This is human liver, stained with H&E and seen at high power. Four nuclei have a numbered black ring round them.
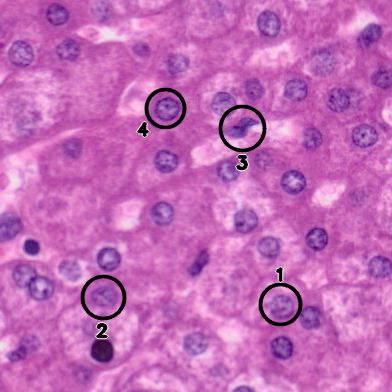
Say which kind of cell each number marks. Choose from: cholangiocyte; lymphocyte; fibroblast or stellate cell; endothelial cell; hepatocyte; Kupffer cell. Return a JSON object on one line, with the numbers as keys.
{"1": "hepatocyte", "2": "hepatocyte", "3": "endothelial cell", "4": "hepatocyte"}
